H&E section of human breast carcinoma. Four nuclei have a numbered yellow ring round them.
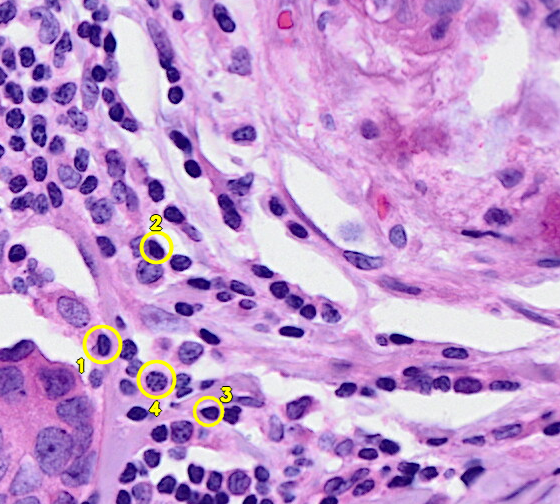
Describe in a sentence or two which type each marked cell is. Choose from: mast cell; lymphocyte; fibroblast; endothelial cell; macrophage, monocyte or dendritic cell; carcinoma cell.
Cells 1, 2 and 3 are lymphocytes. Cell 4 is a mast cell.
